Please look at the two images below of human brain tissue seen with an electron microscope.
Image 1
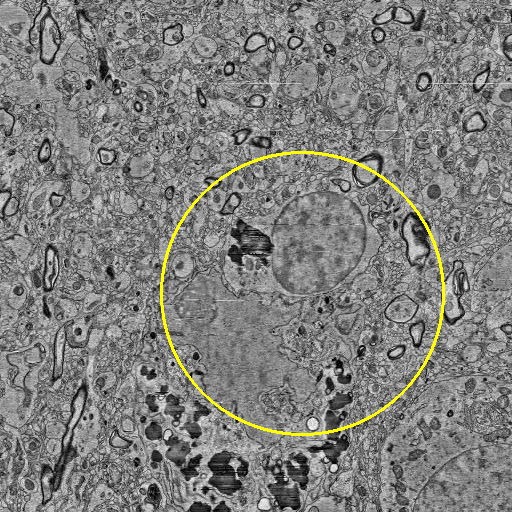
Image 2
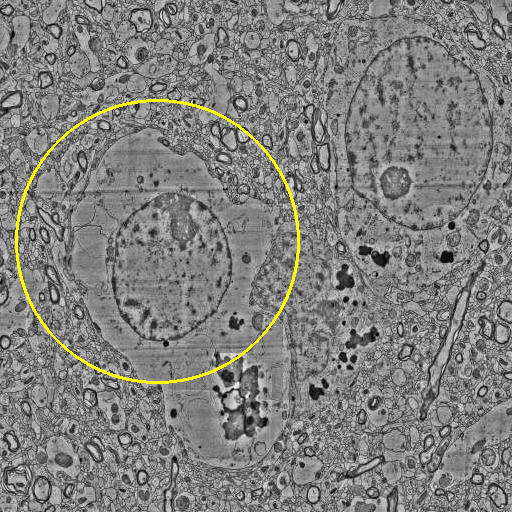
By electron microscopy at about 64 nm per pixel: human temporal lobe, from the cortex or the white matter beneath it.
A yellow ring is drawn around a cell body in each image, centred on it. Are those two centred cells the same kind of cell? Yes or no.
no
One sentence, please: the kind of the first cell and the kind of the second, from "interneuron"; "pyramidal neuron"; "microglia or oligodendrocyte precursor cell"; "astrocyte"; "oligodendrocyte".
The ring in the first picture surrounds an oligodendrocyte, and the ring in the second surrounds an astrocyte.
